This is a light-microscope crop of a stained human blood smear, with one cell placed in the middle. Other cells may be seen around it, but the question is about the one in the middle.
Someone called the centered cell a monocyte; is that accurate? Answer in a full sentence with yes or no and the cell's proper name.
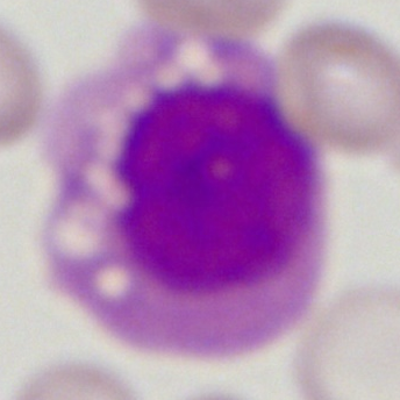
Yes, what sits in the centre of the crop is a monocyte.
